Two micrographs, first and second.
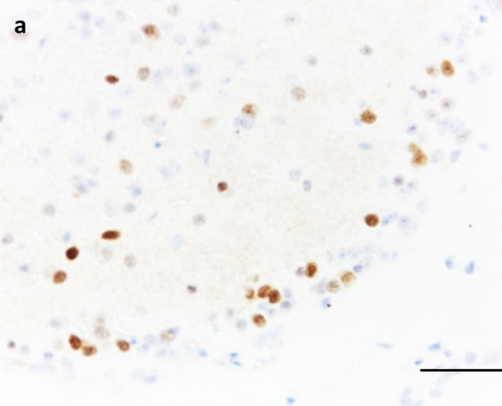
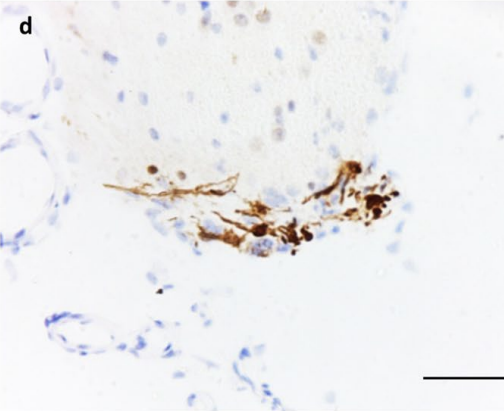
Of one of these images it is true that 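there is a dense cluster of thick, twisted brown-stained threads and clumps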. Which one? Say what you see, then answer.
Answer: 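Second image: a confined tangle of dark brown, thread-like and clumped profiles lies at the lower edge of the tissue. First image: only scattered small round brown dots are present, with no brown threads or clumps.
The second image.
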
